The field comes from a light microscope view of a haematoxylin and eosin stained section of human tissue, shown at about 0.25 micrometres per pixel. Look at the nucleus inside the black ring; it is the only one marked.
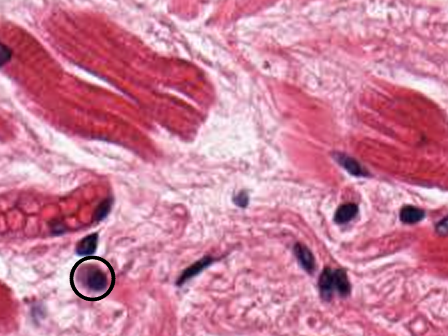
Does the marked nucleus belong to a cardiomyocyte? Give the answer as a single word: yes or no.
no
